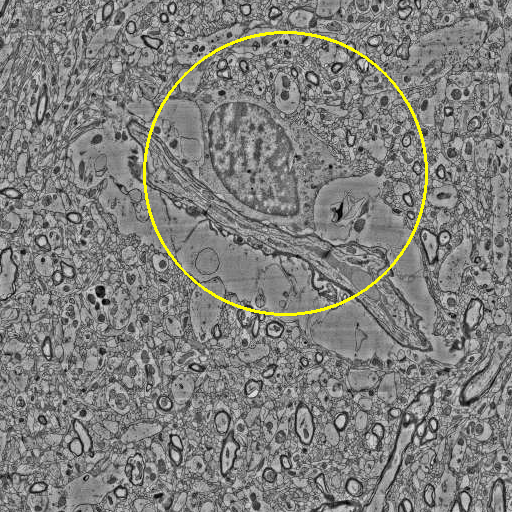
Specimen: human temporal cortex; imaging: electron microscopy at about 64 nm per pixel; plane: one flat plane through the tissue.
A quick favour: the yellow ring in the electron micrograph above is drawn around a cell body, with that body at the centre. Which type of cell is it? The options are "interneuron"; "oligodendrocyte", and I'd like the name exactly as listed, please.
oligodendrocyte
